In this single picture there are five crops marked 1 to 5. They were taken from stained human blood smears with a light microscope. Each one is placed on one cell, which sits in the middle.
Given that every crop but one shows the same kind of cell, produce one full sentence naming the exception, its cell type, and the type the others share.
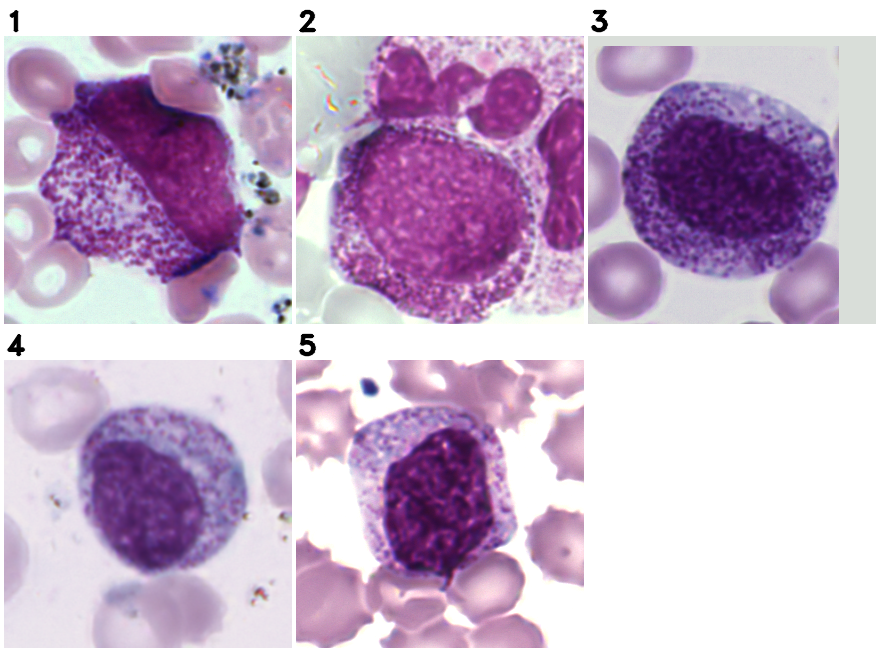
Here the outlier is crop 5, which is a myelocyte, and the rest are promyelocytes.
